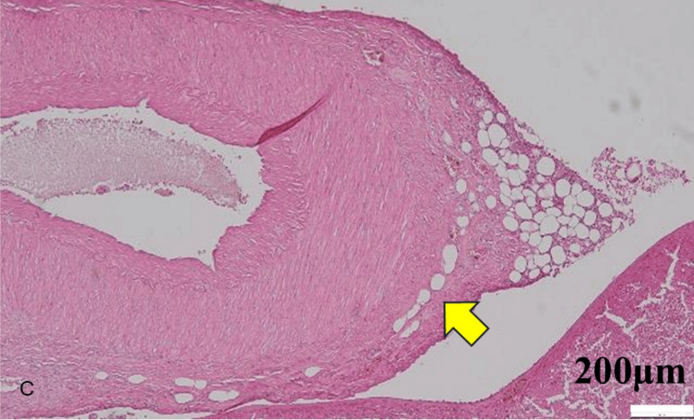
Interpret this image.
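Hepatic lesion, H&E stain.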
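Muscular artery cut obliquely, with a thick pink wall of densely packed, circumferentially arranged smooth muscle around a lumen holding pale eosinophilic material. The outer surface carries a thin rim of loose fibrous tissue with a cluster of clear, empty-looking fat cells. A few more fat cells line the lower edge of the wall. Below, across an empty cleft, lies liver tissue with plates of hepatocytes. The vessel wall facing the cleft is bare of liver cells.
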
